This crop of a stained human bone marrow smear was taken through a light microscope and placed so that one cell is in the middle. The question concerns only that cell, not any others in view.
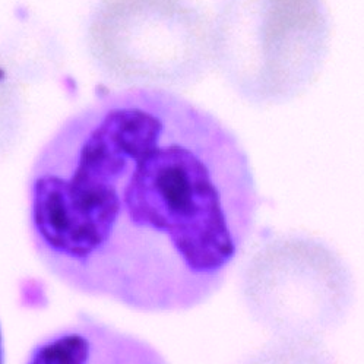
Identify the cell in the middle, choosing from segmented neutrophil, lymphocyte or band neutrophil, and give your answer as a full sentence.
In short, the cell at the center is a segmented neutrophil.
